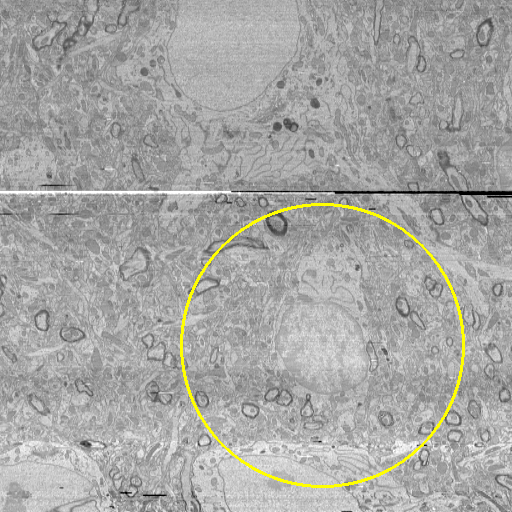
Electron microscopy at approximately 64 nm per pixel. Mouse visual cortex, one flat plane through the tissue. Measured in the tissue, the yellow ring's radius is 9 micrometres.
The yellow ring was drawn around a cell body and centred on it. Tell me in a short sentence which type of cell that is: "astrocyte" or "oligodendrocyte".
The cell at the ring's centre is an oligodendrocyte.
